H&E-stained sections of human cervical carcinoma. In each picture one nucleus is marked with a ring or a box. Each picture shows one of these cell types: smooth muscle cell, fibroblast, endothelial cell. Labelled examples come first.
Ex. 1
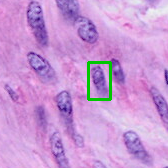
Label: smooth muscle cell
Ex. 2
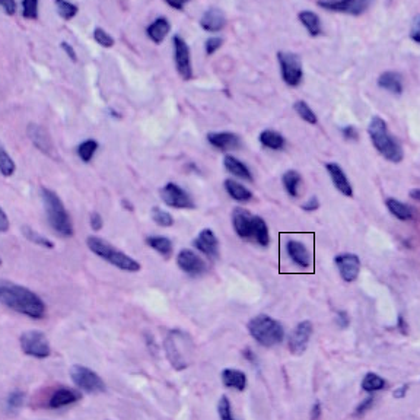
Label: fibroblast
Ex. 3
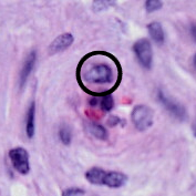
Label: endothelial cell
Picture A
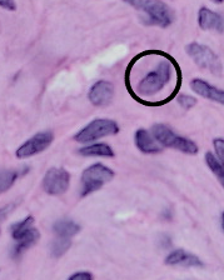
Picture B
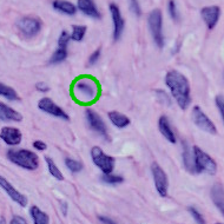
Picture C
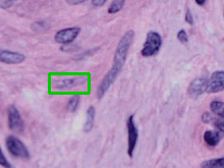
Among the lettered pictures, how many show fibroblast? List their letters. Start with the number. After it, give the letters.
Count: 2 (A, B)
